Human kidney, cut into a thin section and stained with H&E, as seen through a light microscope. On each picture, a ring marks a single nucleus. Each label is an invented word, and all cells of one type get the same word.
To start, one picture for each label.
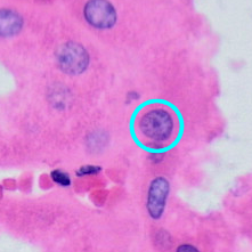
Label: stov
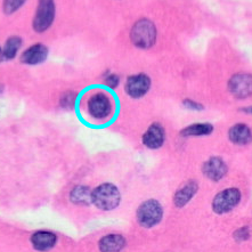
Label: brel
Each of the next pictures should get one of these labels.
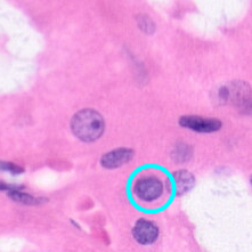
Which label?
brel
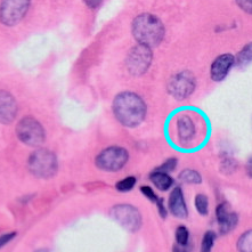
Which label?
brel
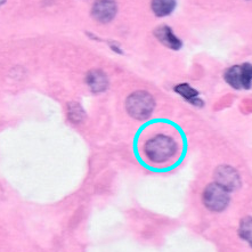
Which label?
stov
